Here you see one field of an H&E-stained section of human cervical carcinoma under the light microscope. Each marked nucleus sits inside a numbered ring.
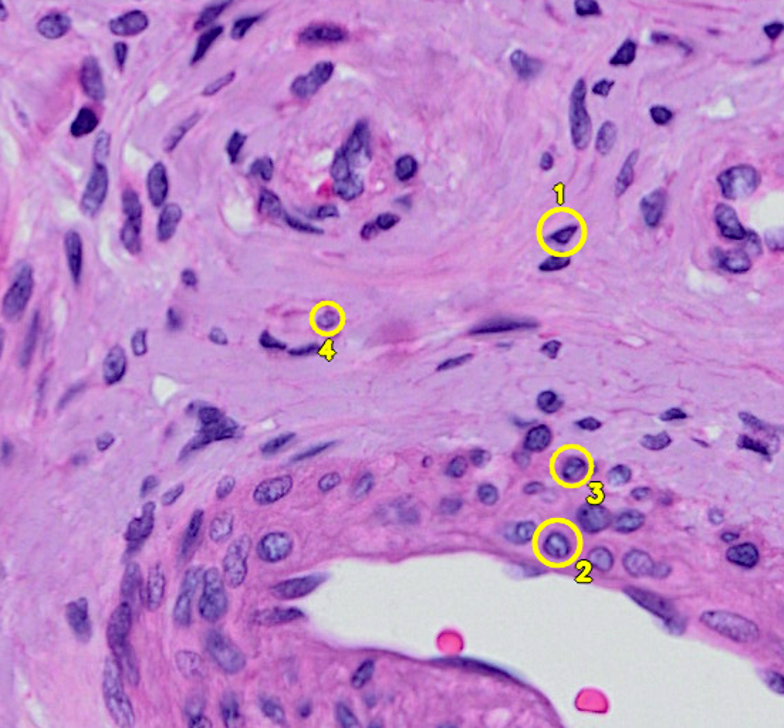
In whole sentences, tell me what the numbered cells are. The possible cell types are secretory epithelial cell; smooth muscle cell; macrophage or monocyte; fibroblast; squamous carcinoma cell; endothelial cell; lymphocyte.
Cell 1 is a fibroblast, cell 2 is a smooth muscle cell, cell 3 is a smooth muscle cell and cell 4 is a smooth muscle cell.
